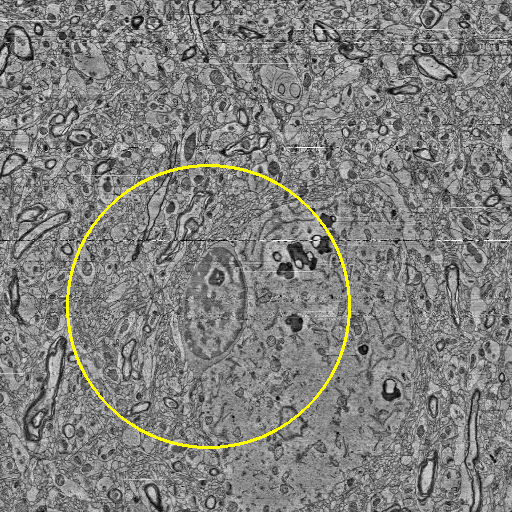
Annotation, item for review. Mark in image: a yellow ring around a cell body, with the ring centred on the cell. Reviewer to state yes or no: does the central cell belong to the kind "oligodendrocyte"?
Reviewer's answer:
yes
